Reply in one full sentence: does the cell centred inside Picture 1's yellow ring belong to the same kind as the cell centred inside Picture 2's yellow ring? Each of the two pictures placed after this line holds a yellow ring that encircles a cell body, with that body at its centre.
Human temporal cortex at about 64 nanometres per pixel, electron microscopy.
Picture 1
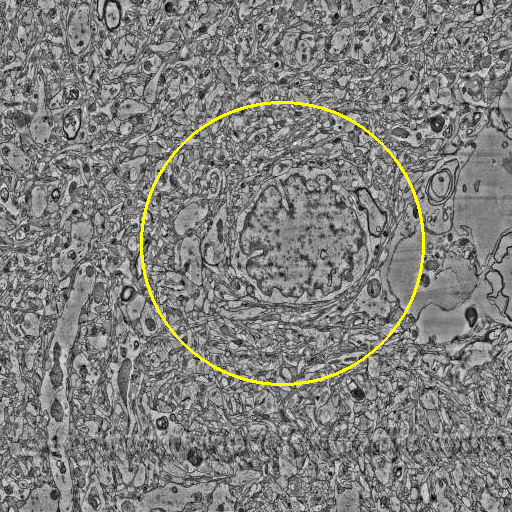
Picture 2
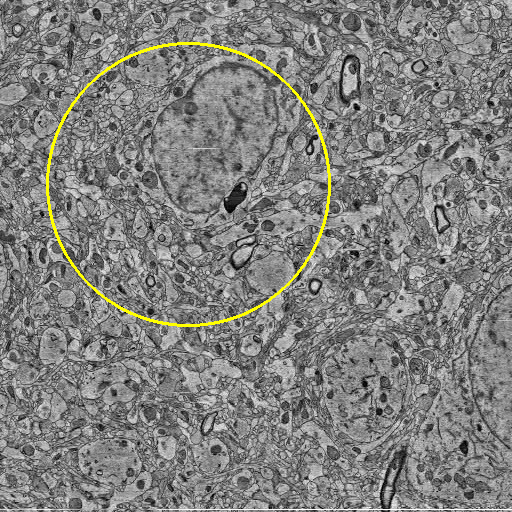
Yes, the ring-centred cells in Picture 1 and Picture 2 are of one and the same kind.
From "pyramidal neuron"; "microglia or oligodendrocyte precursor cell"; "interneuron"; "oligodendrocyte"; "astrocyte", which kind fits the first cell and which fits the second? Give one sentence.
The cell in the first picture is an interneuron, and so is the one in the second.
